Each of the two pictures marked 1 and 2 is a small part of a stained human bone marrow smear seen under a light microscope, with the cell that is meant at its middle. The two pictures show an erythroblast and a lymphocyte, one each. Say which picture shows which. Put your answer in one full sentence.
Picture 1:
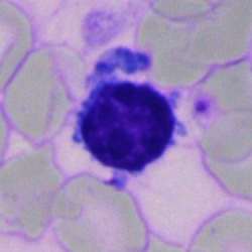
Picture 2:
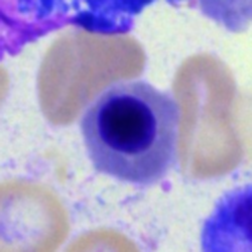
It is picture 1 that shows a lymphocyte, and picture 2 that shows an erythroblast.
